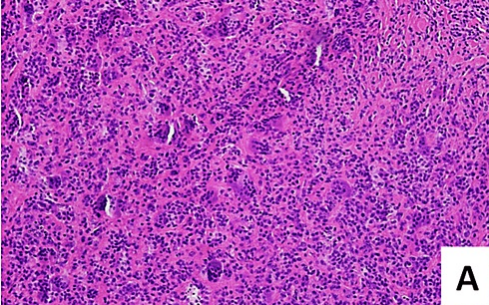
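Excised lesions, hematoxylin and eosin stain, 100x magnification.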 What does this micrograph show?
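A densely cellular tissue is made of sheets of small round cells with dark nuclei. Scattered among them are much larger cells holding many clustered nuclei and pink cytoplasm. Between the cells are pink cytoplasm-rich areas and a few narrow, empty, slit-like spaces. The large cells are multinucleated giant cells set in a background of round mononuclear cells, with cleft-like spaces in places.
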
